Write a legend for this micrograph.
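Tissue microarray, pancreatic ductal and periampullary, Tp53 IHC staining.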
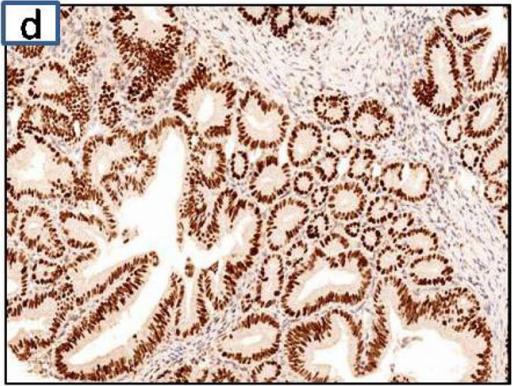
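This is adenocarcinoma made of many small and larger glands packed closely in a fibrous stroma. The tall tumour cells lining each gland have elongated nuclei stained strongly brown, stacked along the gland wall around an open lumen. The cytoplasm toward the lumen is pale, and the stroma between glands is only lightly stained.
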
